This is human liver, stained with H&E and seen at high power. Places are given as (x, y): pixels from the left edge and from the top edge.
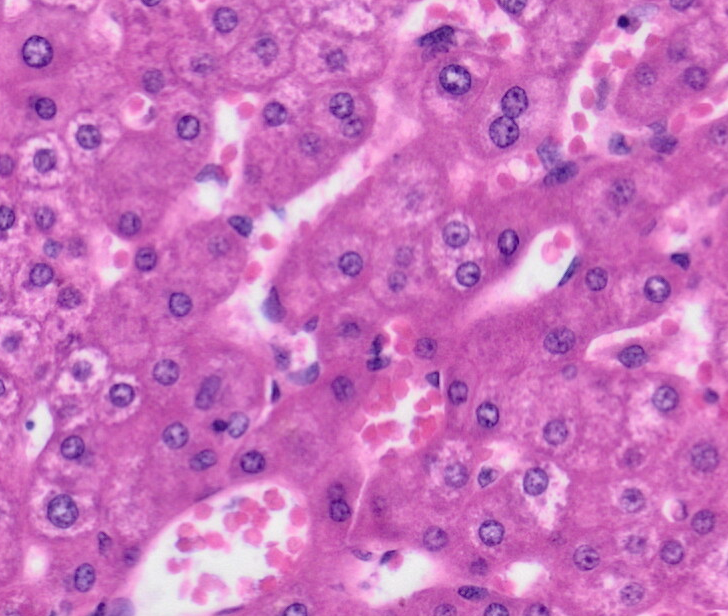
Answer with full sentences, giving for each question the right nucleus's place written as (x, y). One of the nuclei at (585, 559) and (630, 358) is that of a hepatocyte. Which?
The nucleus that belongs to a hepatocyte is located at (585, 559).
